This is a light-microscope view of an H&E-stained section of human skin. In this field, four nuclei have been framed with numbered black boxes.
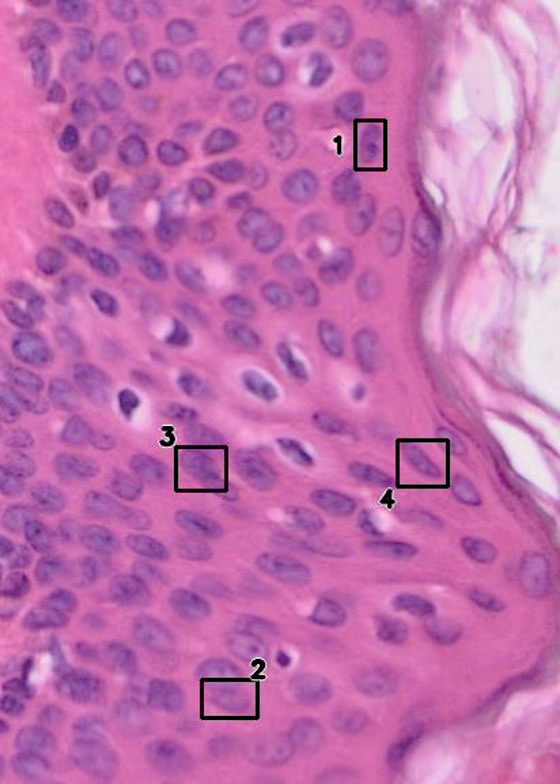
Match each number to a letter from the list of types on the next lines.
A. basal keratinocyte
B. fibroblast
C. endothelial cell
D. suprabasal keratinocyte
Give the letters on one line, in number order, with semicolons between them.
D; D; A; D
